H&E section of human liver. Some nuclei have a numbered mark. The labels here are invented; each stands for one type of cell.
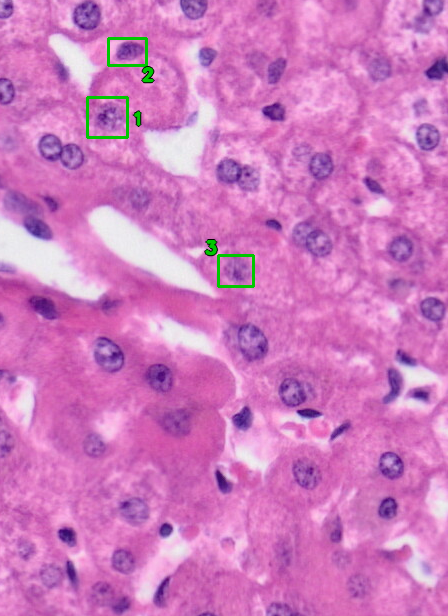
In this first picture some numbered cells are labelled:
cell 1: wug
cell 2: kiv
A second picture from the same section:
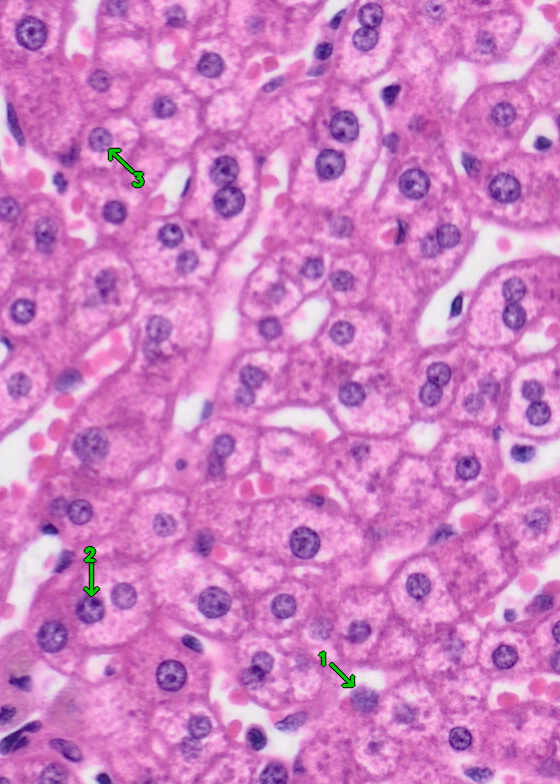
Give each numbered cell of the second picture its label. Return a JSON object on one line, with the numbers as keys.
{"1": "kiv", "2": "wug", "3": "wug"}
